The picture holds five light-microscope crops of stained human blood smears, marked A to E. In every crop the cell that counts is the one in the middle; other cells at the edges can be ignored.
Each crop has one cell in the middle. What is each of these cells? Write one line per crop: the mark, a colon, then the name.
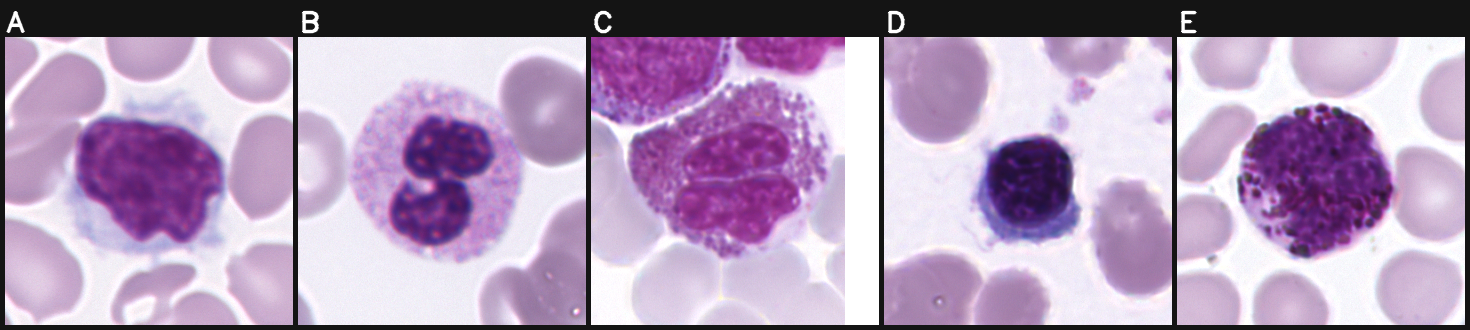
A: hairy cell
B: segmented neutrophil
C: eosinophil
D: plasma cell
E: basophil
